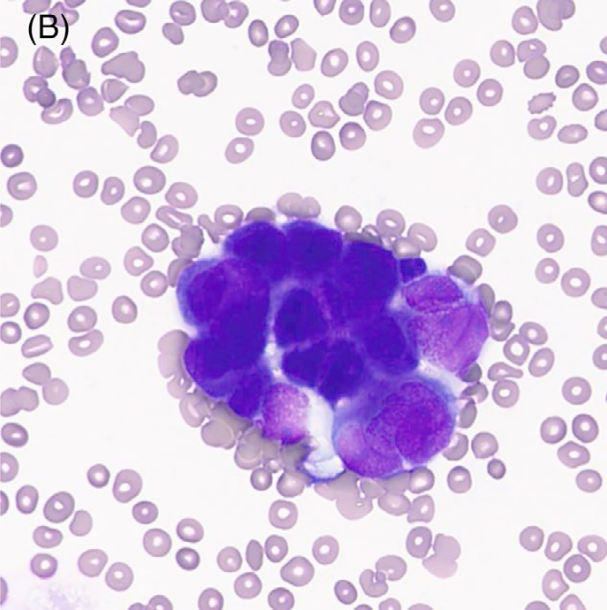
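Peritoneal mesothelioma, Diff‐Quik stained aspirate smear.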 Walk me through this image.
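A single cohesive cluster of large epithelioid cells lies in a background of red blood cells. The cytoplasm is dense and deep blue-purple, and cell boundaries within the cluster are partly indistinct where the cells overlap. The outer edge of the cluster is irregular and knobby, with rounded cells protruding from its surface. The surrounding red blood cells are many times smaller than the clustered cells.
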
